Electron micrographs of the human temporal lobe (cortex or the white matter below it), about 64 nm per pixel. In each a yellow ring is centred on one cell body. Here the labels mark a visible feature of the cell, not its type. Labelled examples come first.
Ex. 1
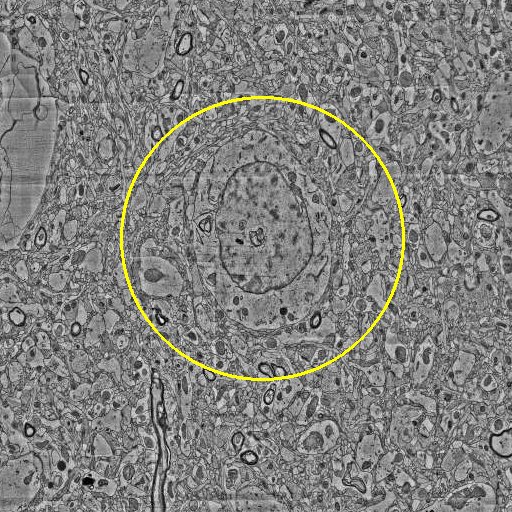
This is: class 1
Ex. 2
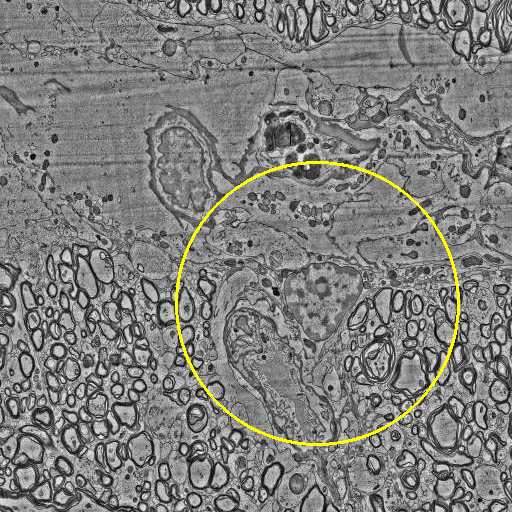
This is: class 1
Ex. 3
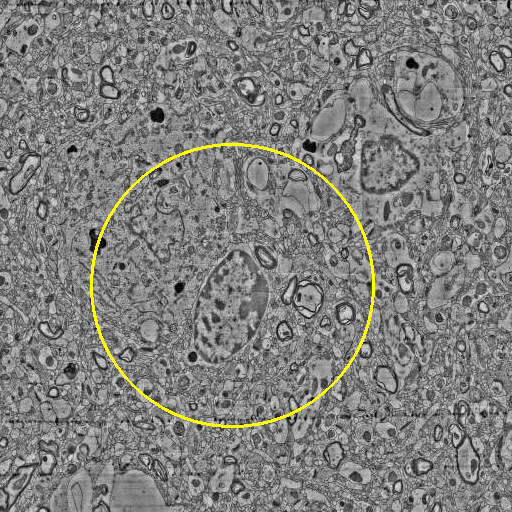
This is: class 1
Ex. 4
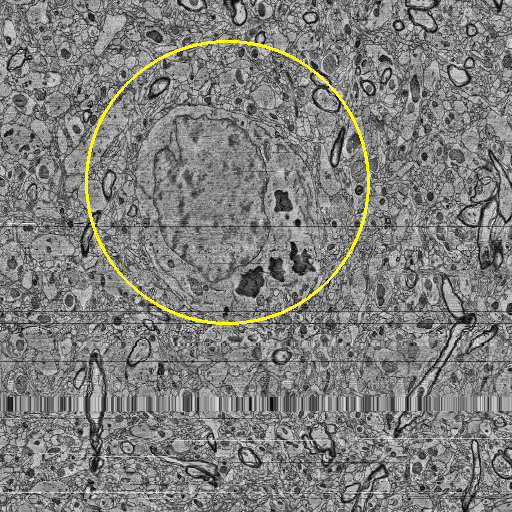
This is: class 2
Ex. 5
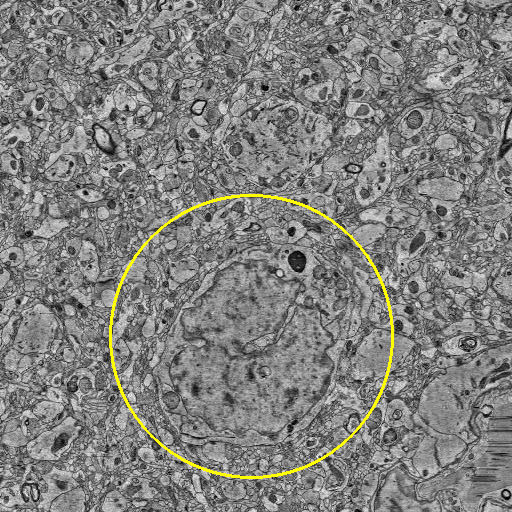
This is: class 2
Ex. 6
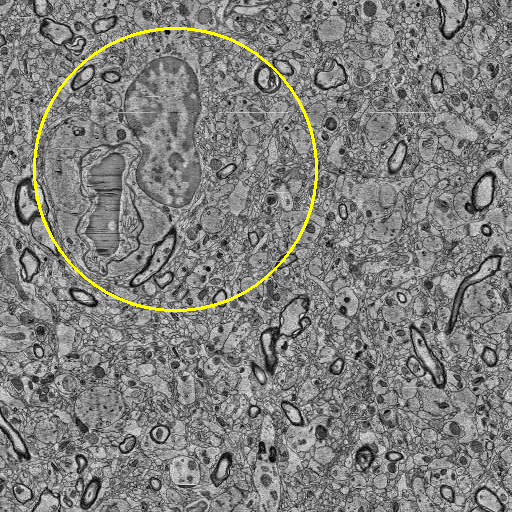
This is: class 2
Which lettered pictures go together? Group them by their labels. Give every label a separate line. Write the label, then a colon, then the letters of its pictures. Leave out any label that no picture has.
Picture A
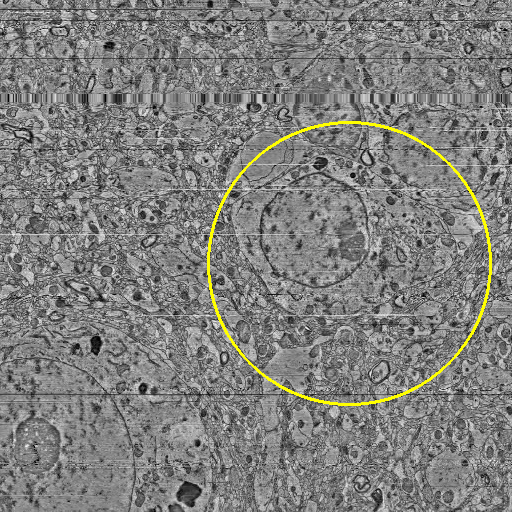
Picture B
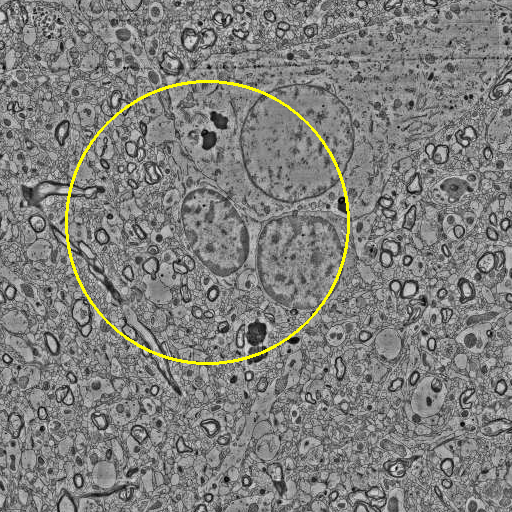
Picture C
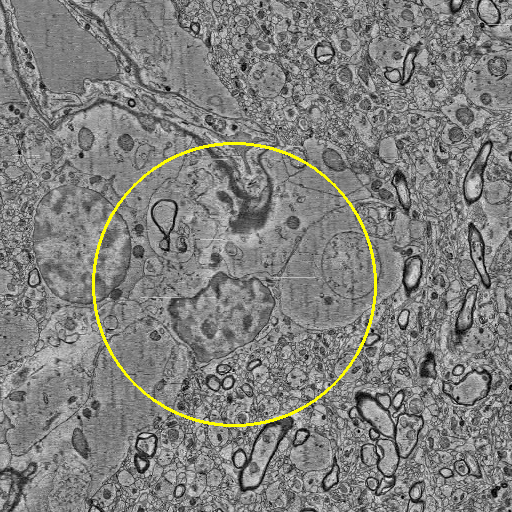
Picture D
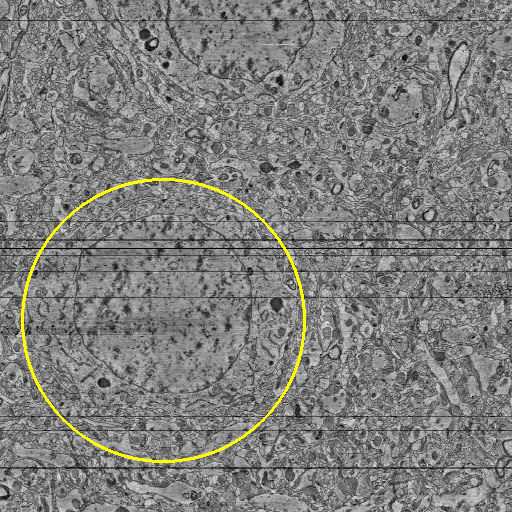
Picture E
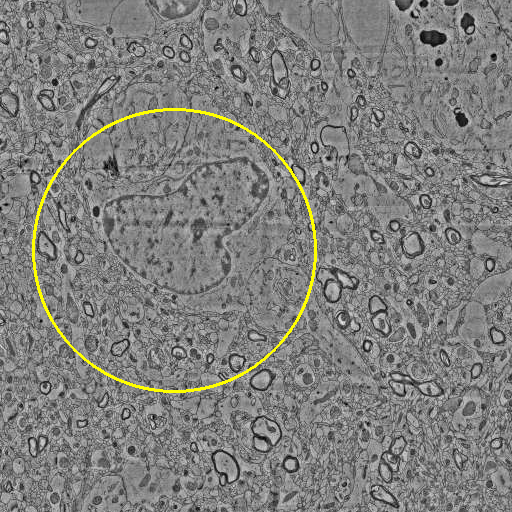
class 1: A, B, D
class 2: C, E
